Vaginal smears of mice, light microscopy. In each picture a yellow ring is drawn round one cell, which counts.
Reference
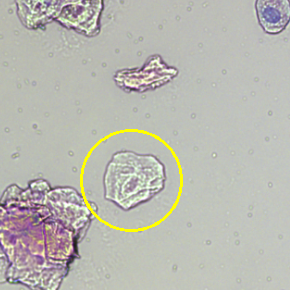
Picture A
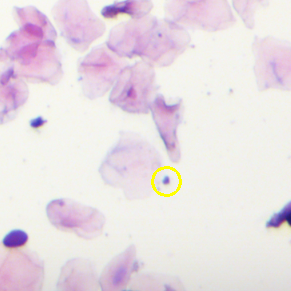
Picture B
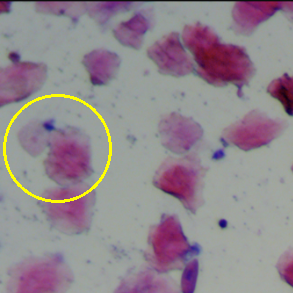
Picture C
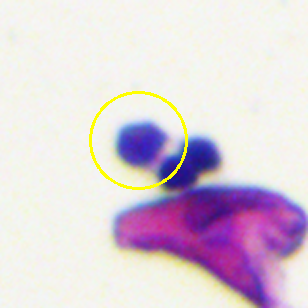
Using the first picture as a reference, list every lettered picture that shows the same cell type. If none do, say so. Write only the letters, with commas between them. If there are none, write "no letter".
B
